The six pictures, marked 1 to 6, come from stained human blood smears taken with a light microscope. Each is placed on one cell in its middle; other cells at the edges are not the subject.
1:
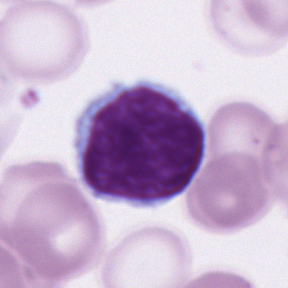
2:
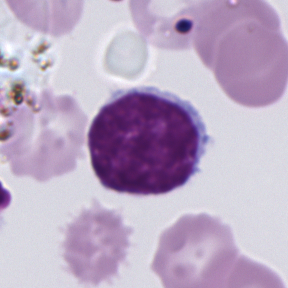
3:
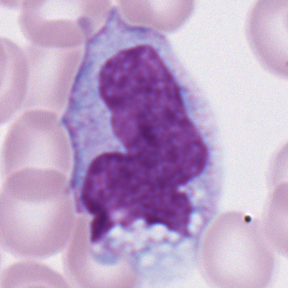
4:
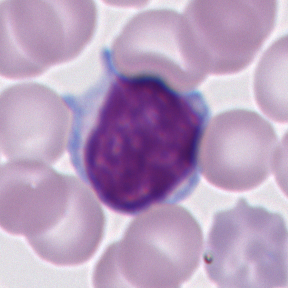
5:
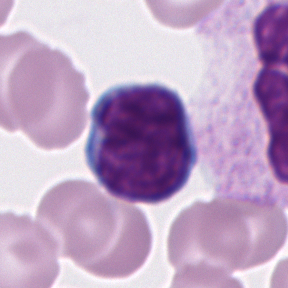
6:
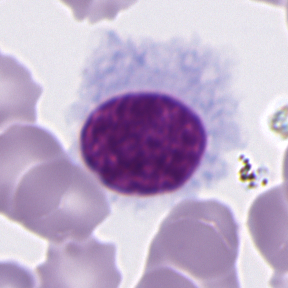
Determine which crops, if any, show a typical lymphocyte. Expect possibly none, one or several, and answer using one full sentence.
Classified as typical lymphocytes are the central cells of crops 1, 2, 4 and 5.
